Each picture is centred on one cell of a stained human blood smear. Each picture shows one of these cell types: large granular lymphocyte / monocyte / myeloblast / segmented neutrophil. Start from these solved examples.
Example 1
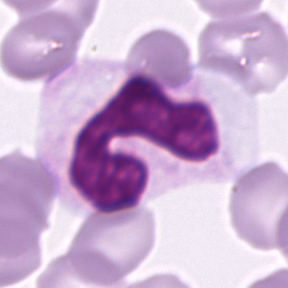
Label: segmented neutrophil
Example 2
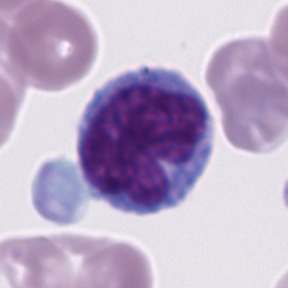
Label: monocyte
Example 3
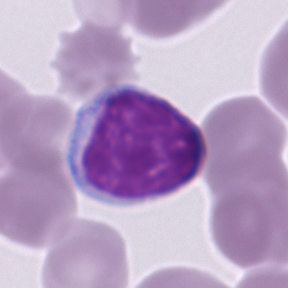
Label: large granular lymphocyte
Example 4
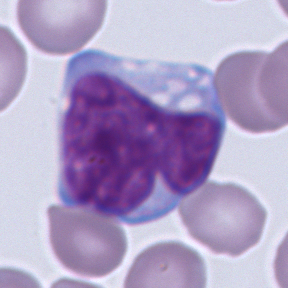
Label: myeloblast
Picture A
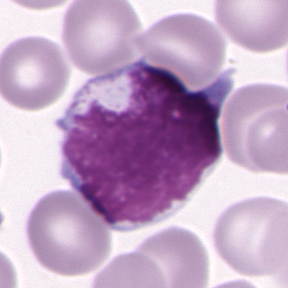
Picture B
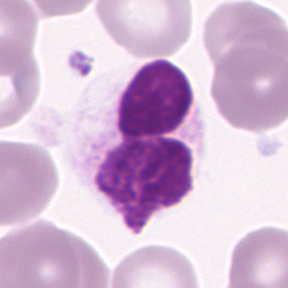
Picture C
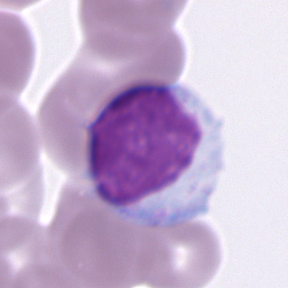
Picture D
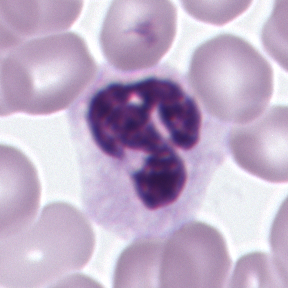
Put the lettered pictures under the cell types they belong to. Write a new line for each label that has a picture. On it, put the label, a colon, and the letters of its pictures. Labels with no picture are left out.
large granular lymphocyte: A, C
segmented neutrophil: B, D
